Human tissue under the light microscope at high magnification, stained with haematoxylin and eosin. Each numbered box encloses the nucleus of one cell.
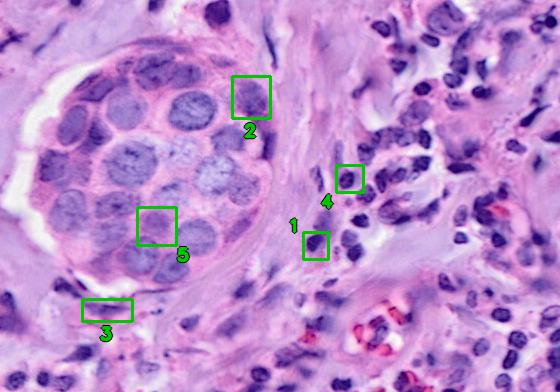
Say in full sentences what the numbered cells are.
Cells 1 and 4 are lymphocytes. Cells 2 and 5 are carcinoma cells. Cell 3 is an endothelial cell.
